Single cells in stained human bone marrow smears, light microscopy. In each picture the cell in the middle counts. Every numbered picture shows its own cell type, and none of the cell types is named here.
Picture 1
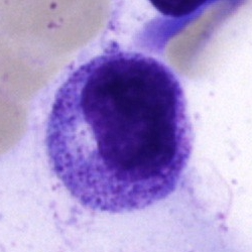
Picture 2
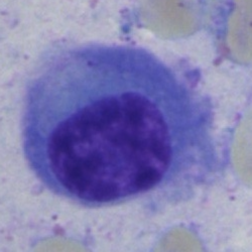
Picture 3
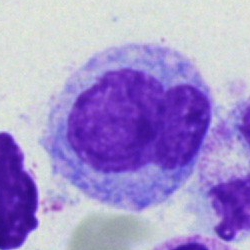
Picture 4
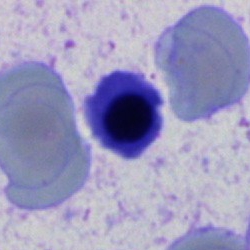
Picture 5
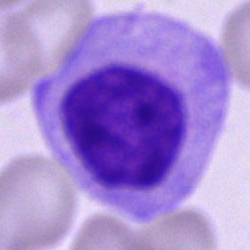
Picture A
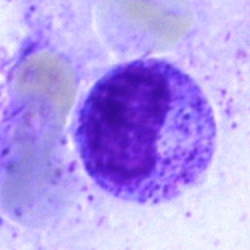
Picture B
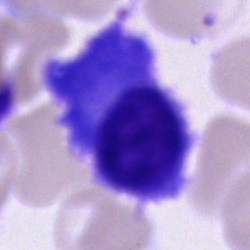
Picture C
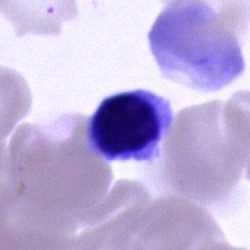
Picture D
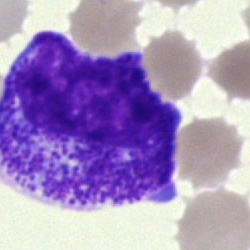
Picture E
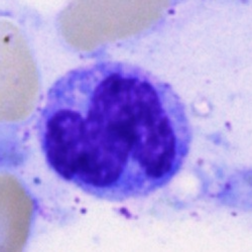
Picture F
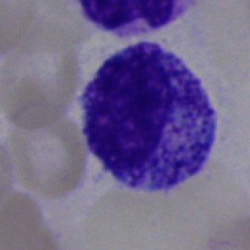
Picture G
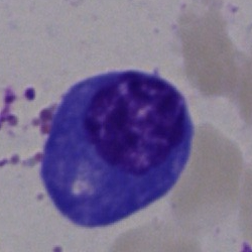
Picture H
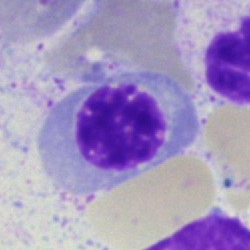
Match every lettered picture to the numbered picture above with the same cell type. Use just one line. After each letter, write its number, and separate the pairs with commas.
A 5, B 2, C 4, D 1, E 3, F 1, G 2, H 4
